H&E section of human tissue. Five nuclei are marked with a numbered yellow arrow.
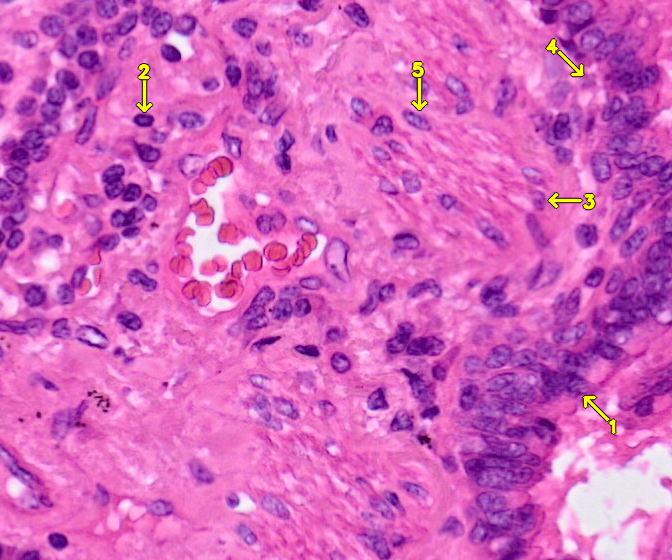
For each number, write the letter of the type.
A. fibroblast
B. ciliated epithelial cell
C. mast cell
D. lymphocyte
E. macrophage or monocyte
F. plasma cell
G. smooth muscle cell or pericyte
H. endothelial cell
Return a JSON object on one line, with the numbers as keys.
{"1": "B", "2": "D", "3": "G", "4": "B", "5": "G"}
